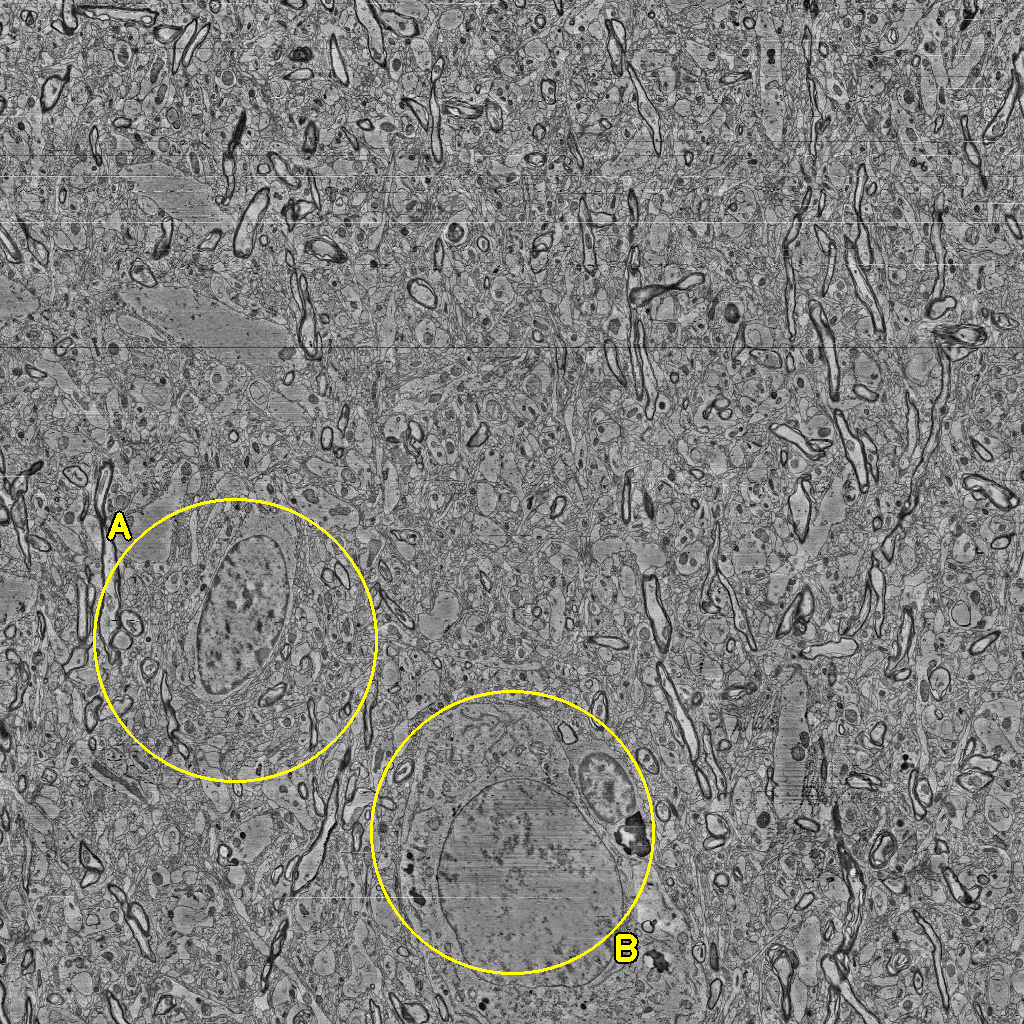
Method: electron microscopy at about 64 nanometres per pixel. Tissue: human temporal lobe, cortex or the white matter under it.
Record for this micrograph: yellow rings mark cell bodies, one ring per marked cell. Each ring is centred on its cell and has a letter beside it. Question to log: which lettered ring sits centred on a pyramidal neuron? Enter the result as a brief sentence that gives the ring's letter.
Ring B holds it at its centre.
